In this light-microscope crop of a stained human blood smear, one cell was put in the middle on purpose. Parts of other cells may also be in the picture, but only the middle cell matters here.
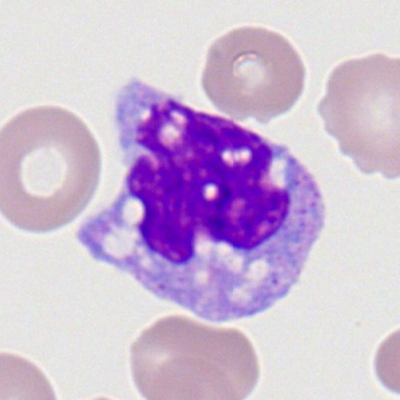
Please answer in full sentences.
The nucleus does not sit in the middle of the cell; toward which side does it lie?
Seen from the middle of the cell, the nucleus lies toward the top.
